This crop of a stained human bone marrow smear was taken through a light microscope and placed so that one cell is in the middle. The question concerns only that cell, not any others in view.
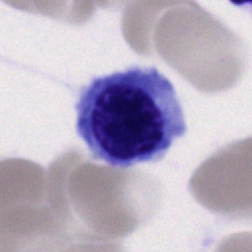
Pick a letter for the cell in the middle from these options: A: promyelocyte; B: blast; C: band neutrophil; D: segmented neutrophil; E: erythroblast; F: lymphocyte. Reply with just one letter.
E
